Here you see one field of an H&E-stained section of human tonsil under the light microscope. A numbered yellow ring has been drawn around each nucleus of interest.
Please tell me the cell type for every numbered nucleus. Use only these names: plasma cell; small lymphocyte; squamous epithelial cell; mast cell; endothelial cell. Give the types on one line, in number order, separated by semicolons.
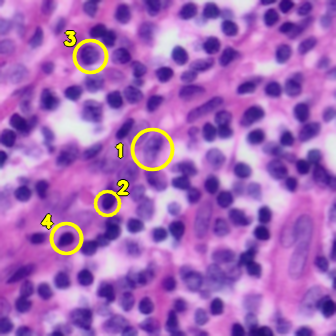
endothelial cell; endothelial cell; plasma cell; endothelial cell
